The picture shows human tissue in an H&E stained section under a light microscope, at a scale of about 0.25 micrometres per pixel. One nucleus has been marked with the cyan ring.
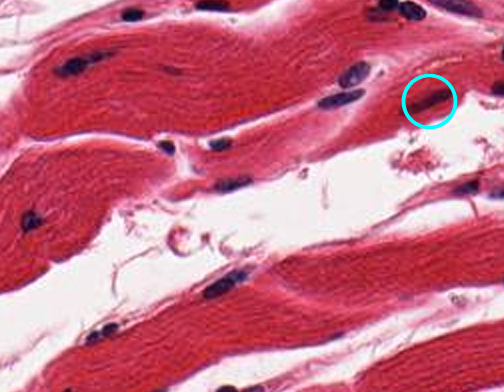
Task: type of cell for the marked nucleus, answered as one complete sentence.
Here the marked nucleus belongs to a skeletal muscle fibre.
